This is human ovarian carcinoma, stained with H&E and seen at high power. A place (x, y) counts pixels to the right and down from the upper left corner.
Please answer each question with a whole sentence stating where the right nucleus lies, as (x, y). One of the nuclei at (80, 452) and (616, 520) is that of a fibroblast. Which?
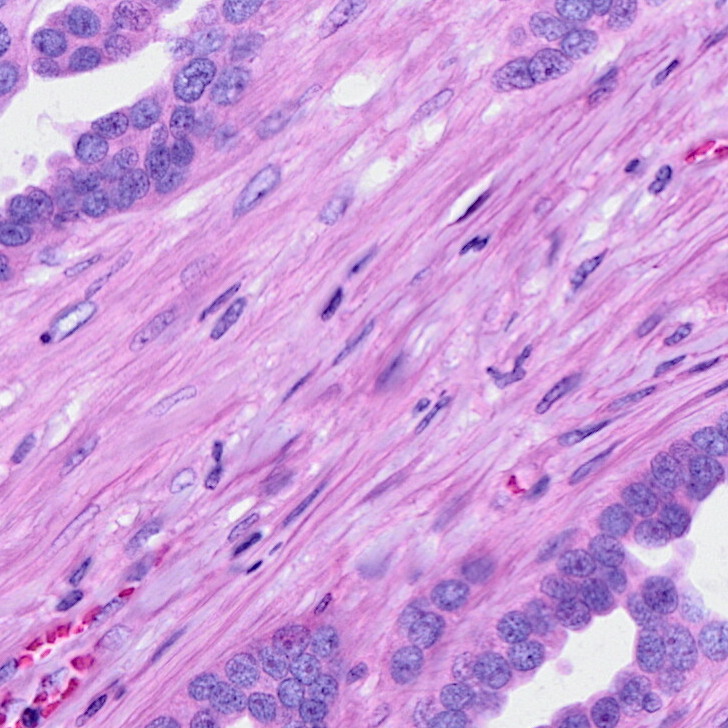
It is the nucleus at (80, 452) that forms part of a fibroblast.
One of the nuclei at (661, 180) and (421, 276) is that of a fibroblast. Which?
Of the two nuclei, the nucleus of a fibroblast is at (421, 276).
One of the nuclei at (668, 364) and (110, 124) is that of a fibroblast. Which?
The member of the pair belonging to a fibroblast is the nucleus at (668, 364).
